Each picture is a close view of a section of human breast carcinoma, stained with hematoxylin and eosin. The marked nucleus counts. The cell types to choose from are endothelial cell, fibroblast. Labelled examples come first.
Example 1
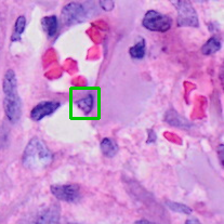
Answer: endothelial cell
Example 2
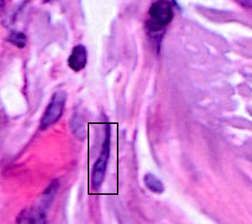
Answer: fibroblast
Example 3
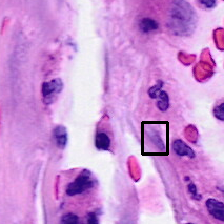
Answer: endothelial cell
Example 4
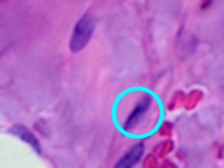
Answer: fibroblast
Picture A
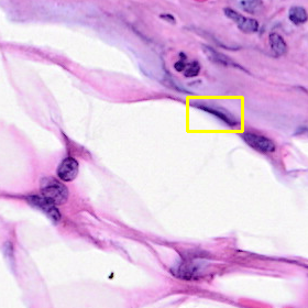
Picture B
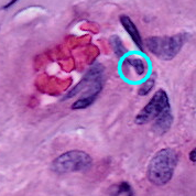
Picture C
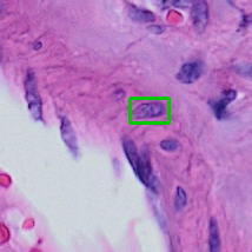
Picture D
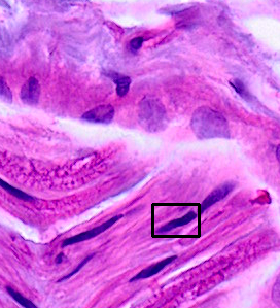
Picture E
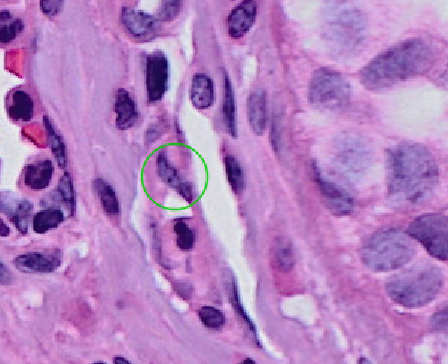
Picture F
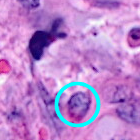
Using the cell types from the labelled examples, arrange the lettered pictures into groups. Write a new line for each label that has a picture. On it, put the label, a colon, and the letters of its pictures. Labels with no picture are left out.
endothelial cell: B, C, E, F
fibroblast: A, D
